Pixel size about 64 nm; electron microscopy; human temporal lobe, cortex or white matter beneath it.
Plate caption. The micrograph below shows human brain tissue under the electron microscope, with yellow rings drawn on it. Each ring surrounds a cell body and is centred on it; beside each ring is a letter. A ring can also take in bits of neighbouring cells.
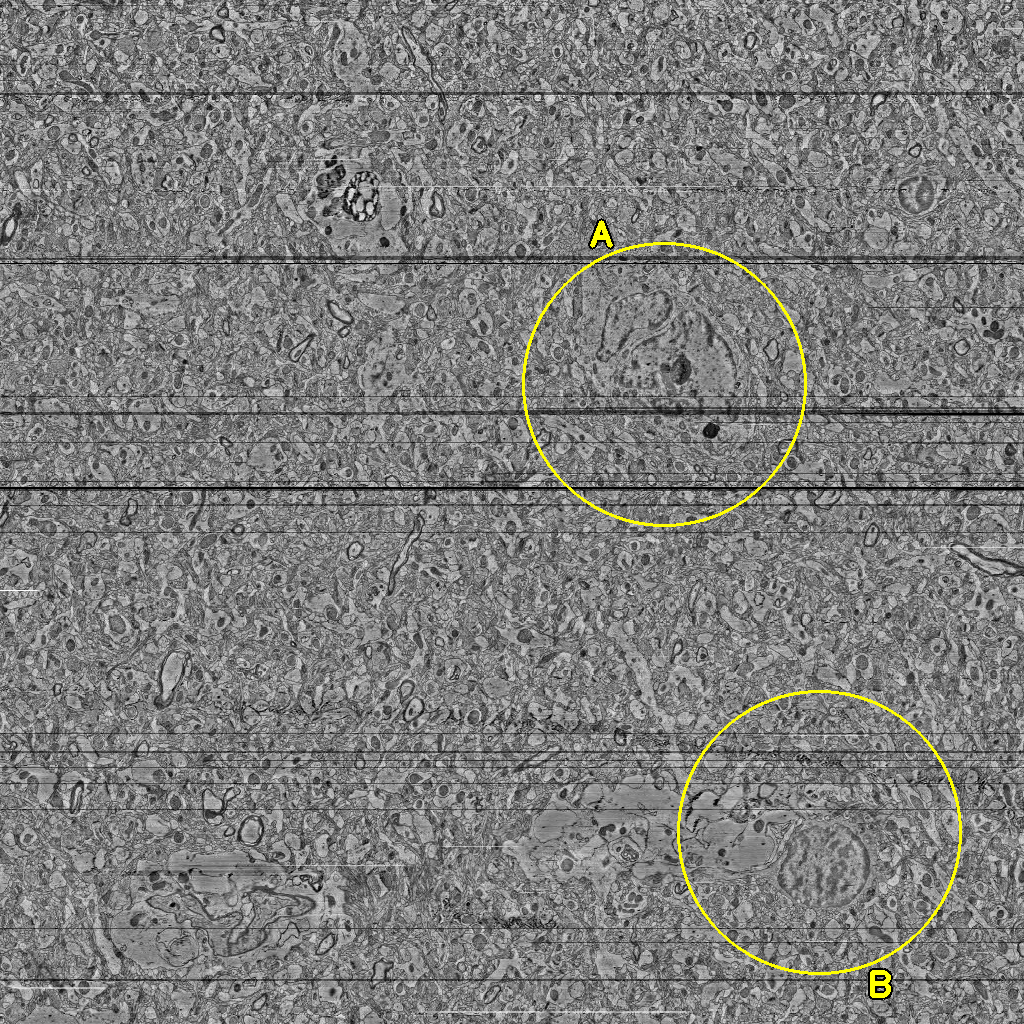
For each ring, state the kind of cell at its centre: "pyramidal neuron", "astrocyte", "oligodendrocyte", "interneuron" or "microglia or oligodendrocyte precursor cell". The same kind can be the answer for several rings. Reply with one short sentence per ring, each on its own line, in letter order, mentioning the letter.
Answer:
Ring A is drawn around an interneuron.
Ring B is drawn around an oligodendrocyte.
